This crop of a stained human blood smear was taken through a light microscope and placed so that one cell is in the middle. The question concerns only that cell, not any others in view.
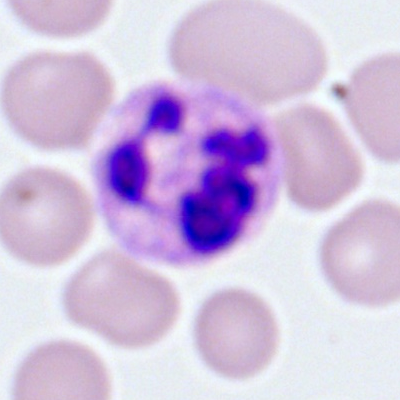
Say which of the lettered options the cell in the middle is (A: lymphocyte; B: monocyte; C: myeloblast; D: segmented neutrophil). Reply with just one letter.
D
